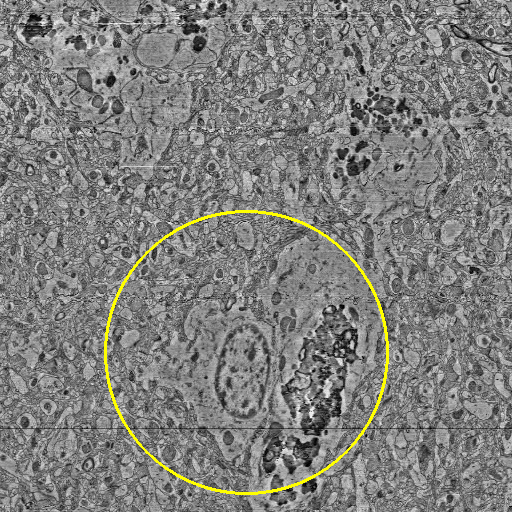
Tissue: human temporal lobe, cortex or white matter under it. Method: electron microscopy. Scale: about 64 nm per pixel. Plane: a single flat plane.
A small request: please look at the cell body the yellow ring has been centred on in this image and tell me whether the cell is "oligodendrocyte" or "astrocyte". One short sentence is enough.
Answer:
The cell marked by the ring is an astrocyte.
